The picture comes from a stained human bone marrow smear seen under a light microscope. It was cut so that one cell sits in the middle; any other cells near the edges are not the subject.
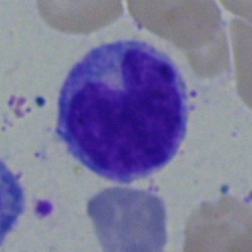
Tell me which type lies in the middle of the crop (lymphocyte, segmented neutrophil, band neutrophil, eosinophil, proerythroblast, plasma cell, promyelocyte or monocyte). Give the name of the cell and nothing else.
monocyte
